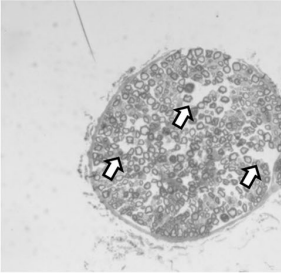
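A cross-section of a whole nerve fascicle is shown, with many round axon profiles, each surrounded by a dark ring, set inside a thin sheath. The profiles vary in size and are unevenly packed. Several pale empty holes interrupt the fascicle where no axon profiles lie.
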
